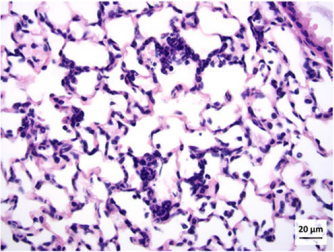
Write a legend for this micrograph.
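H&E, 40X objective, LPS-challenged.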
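Lung parenchyma of alveoli whose walls are thickened and crowded with cells. The alveolar spaces appear as irregular white gaps bounded by pink septa. Many septa carry numerous dark purple, rounded or irregular nuclei, and in several places these nuclei gather into dense clusters that narrow or fill the neighbouring air spaces, especially toward the centre and left. Between the clusters some septa remain thin with only scattered flattened nuclei, and a bit of a vessel or airway wall is seen at the upper right corner.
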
